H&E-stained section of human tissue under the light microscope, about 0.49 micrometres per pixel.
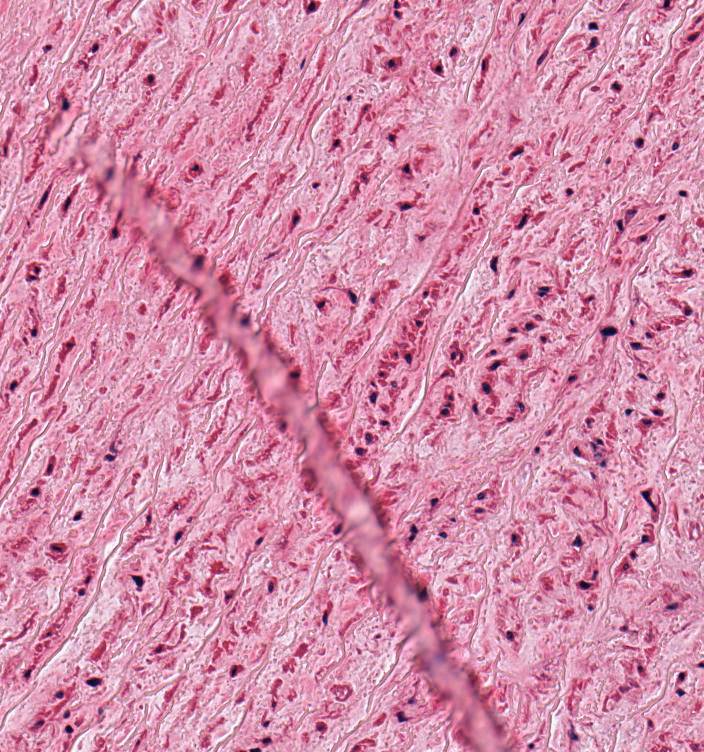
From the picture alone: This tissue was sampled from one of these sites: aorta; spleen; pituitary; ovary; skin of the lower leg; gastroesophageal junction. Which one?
aorta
